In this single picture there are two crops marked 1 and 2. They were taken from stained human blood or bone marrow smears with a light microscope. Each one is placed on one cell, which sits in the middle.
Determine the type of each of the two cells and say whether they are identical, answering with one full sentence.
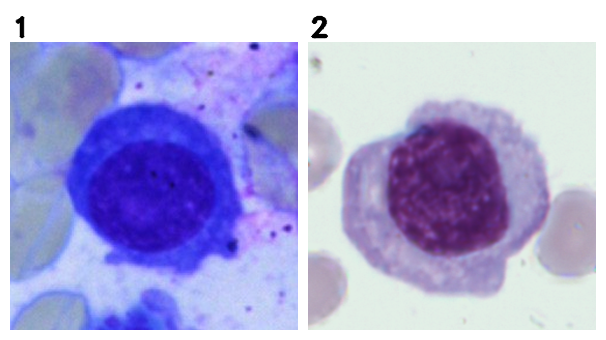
Yes, the two crops both show plasma cells.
